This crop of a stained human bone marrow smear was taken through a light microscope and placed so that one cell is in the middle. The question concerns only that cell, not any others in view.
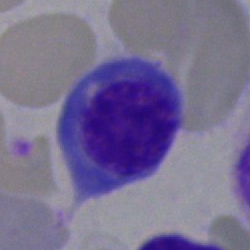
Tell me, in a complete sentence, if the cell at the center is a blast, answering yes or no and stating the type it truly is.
No, not a blast here; the centered cell is an erythroblast.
